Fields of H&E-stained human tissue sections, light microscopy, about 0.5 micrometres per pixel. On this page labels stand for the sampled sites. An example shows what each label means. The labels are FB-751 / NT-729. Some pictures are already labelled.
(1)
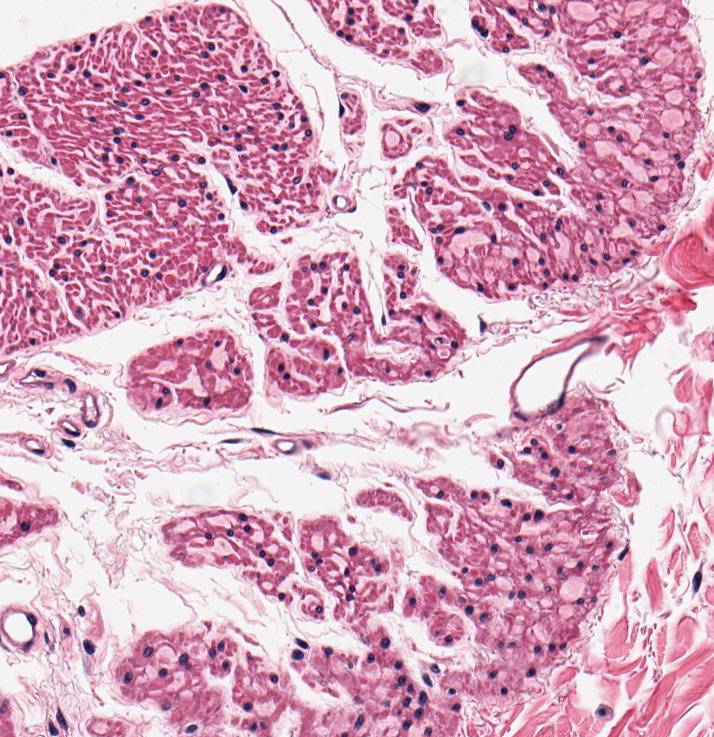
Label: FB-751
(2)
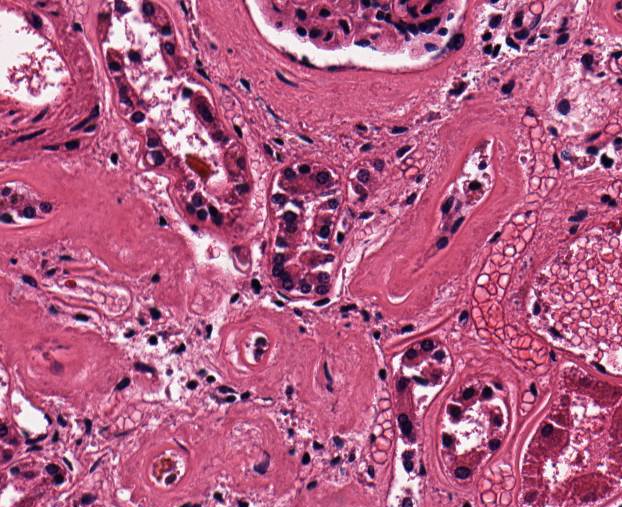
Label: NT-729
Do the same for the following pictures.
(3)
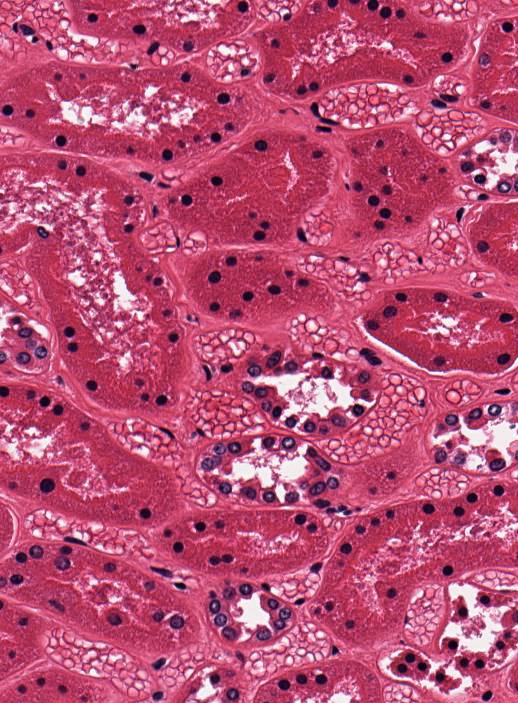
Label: NT-729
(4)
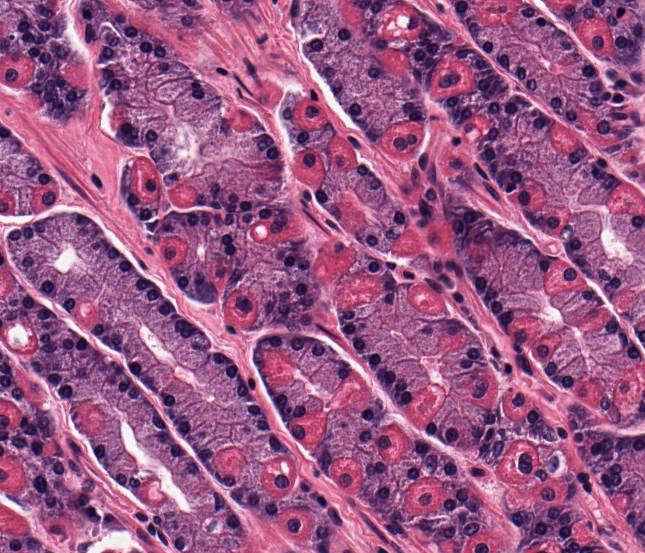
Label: FB-751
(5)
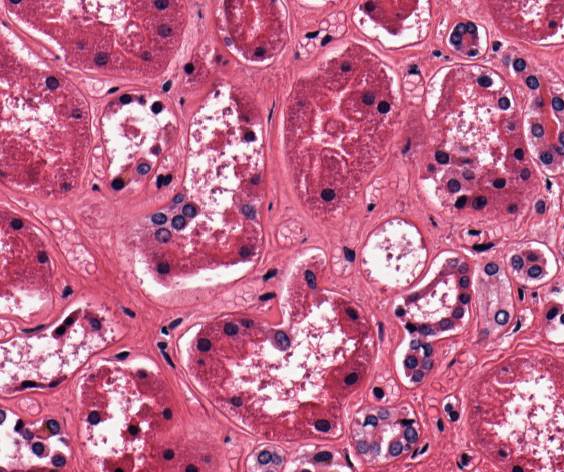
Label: NT-729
